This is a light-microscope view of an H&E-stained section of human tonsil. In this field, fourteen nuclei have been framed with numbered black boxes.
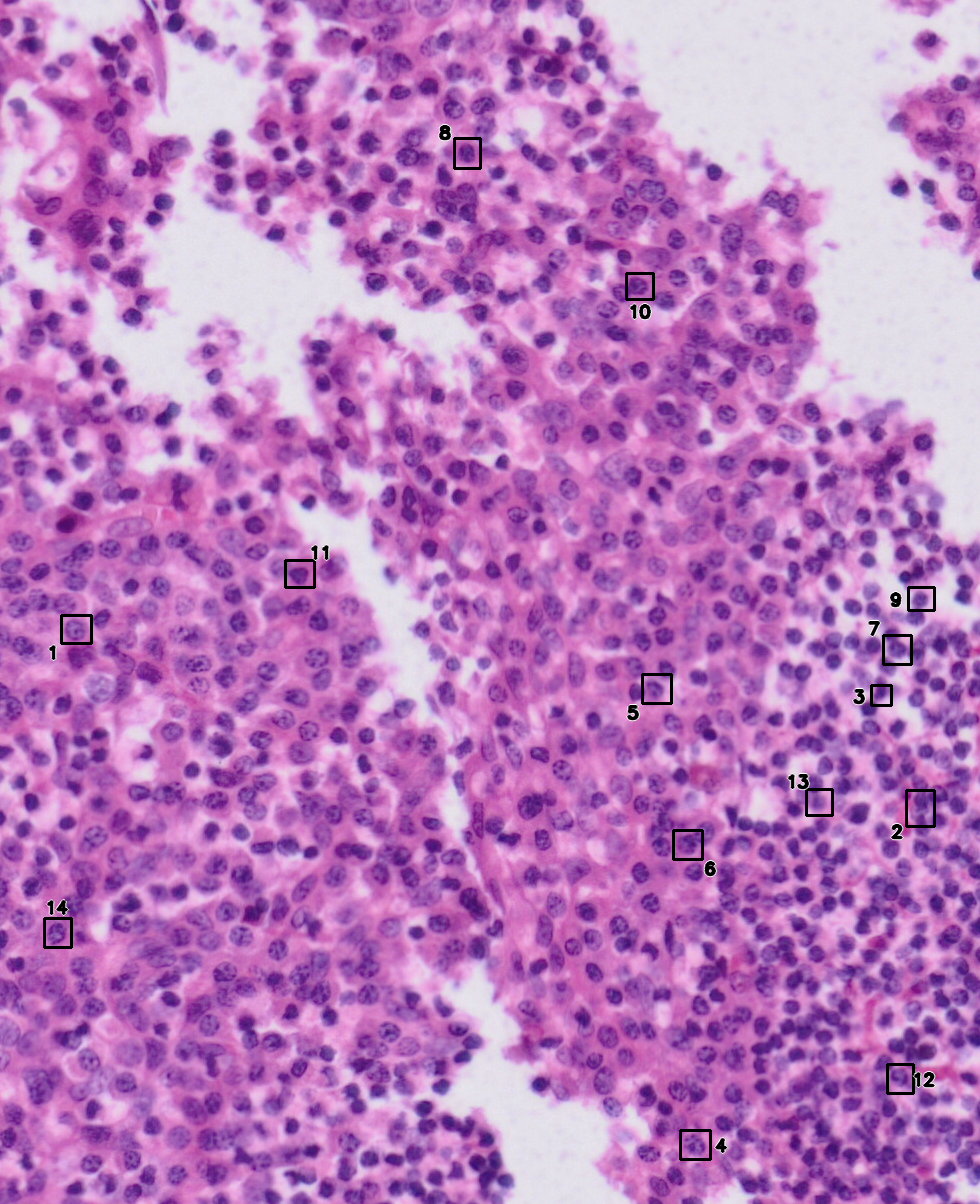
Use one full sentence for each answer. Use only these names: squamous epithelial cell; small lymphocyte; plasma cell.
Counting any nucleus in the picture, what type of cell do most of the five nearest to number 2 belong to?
The majority of the five nuclei closest to number 2 belong to small lymphocytes.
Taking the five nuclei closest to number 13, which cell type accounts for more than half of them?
The majority of the five nuclei closest to number 13 belong to small lymphocytes.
